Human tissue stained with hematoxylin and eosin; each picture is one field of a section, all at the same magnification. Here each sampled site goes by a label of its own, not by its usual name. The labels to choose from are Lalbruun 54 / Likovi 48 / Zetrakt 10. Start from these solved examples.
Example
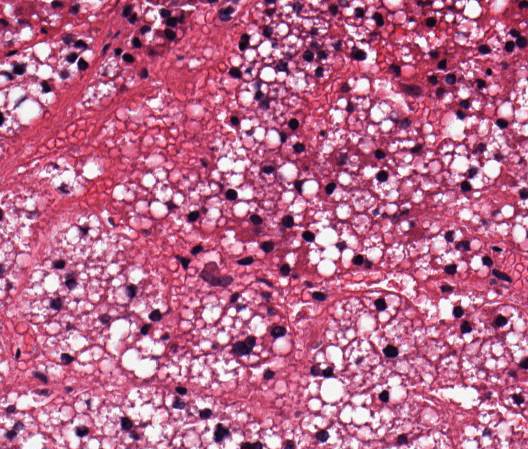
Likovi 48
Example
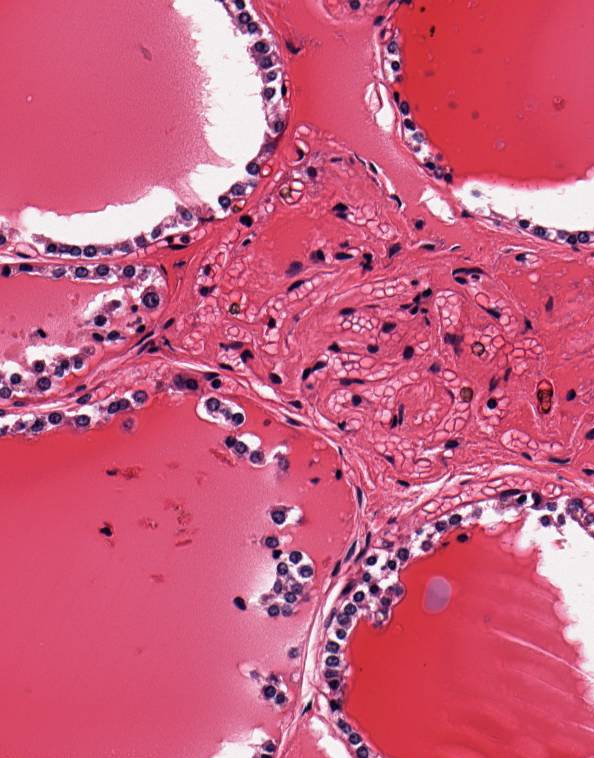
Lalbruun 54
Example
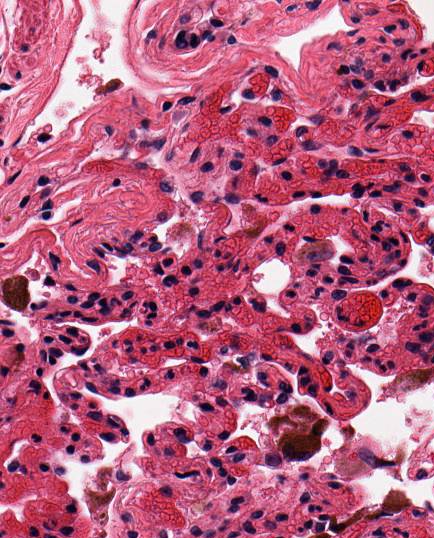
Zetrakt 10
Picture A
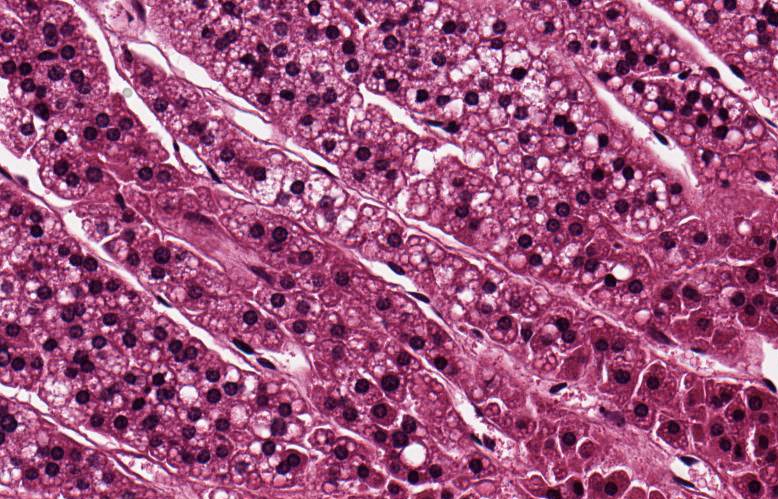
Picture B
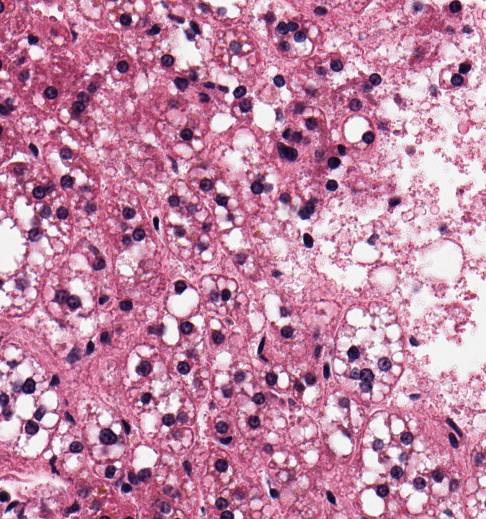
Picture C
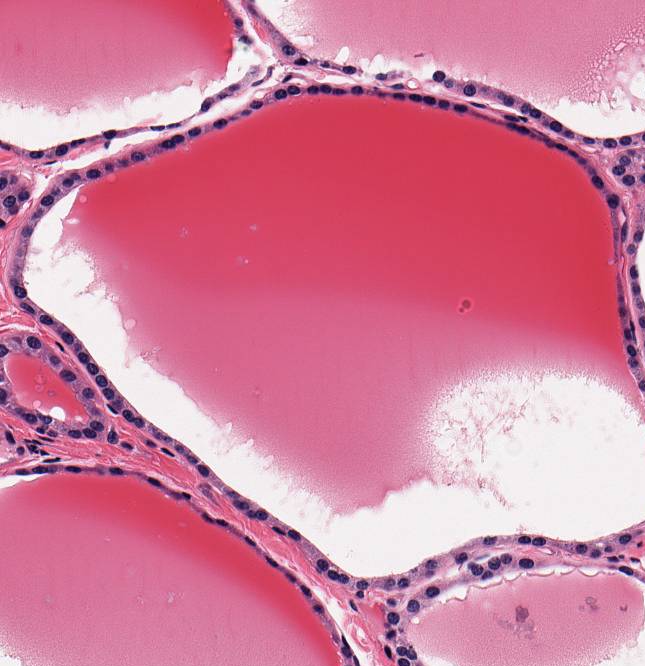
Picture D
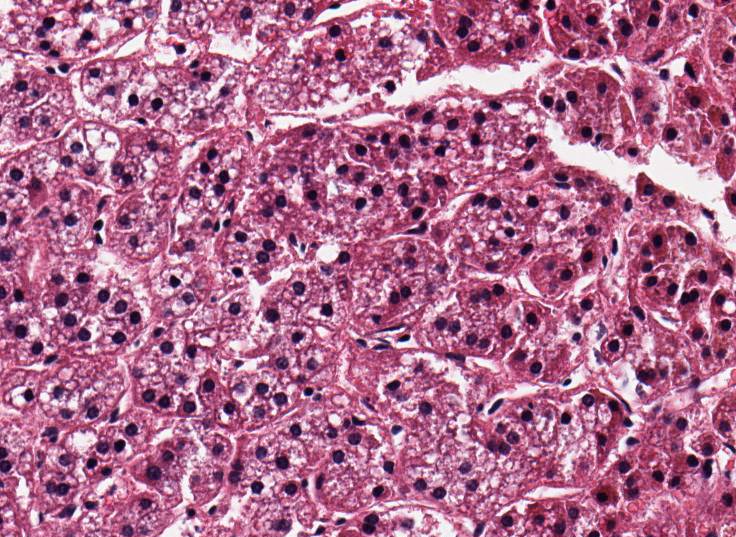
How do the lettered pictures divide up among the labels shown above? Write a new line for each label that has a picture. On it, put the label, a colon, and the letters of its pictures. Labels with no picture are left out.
Lalbruun 54: C
Likovi 48: A, B, D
